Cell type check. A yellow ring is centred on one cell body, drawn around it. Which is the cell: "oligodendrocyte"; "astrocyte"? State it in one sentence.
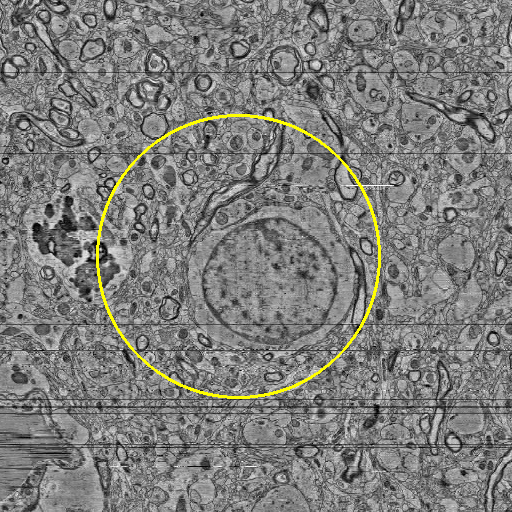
The cell body at the ring's centre belongs to an astrocyte.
